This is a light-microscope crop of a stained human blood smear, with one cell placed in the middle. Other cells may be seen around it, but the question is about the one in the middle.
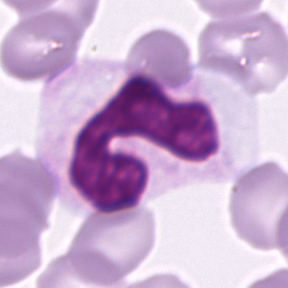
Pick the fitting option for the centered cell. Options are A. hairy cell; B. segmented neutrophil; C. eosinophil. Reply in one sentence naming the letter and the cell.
The one cell at the centre is a segmented neutrophil, as correctly stated in option B.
